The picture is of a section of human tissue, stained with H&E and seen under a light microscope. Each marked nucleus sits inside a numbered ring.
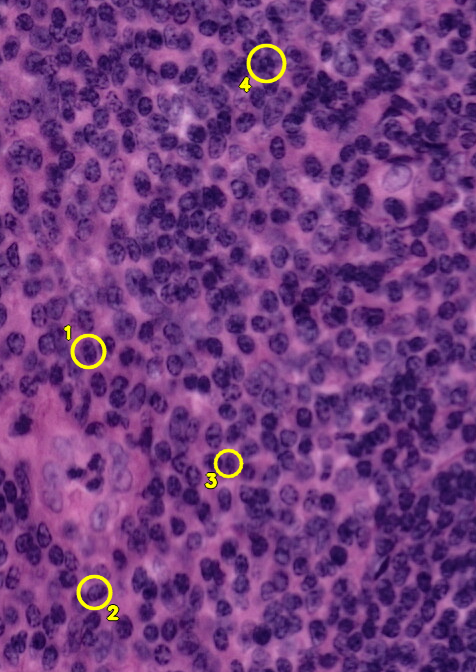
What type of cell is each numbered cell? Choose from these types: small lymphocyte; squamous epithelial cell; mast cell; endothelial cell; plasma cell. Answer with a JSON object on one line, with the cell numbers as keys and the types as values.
{"1": "plasma cell", "2": "plasma cell", "3": "plasma cell", "4": "small lymphocyte"}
